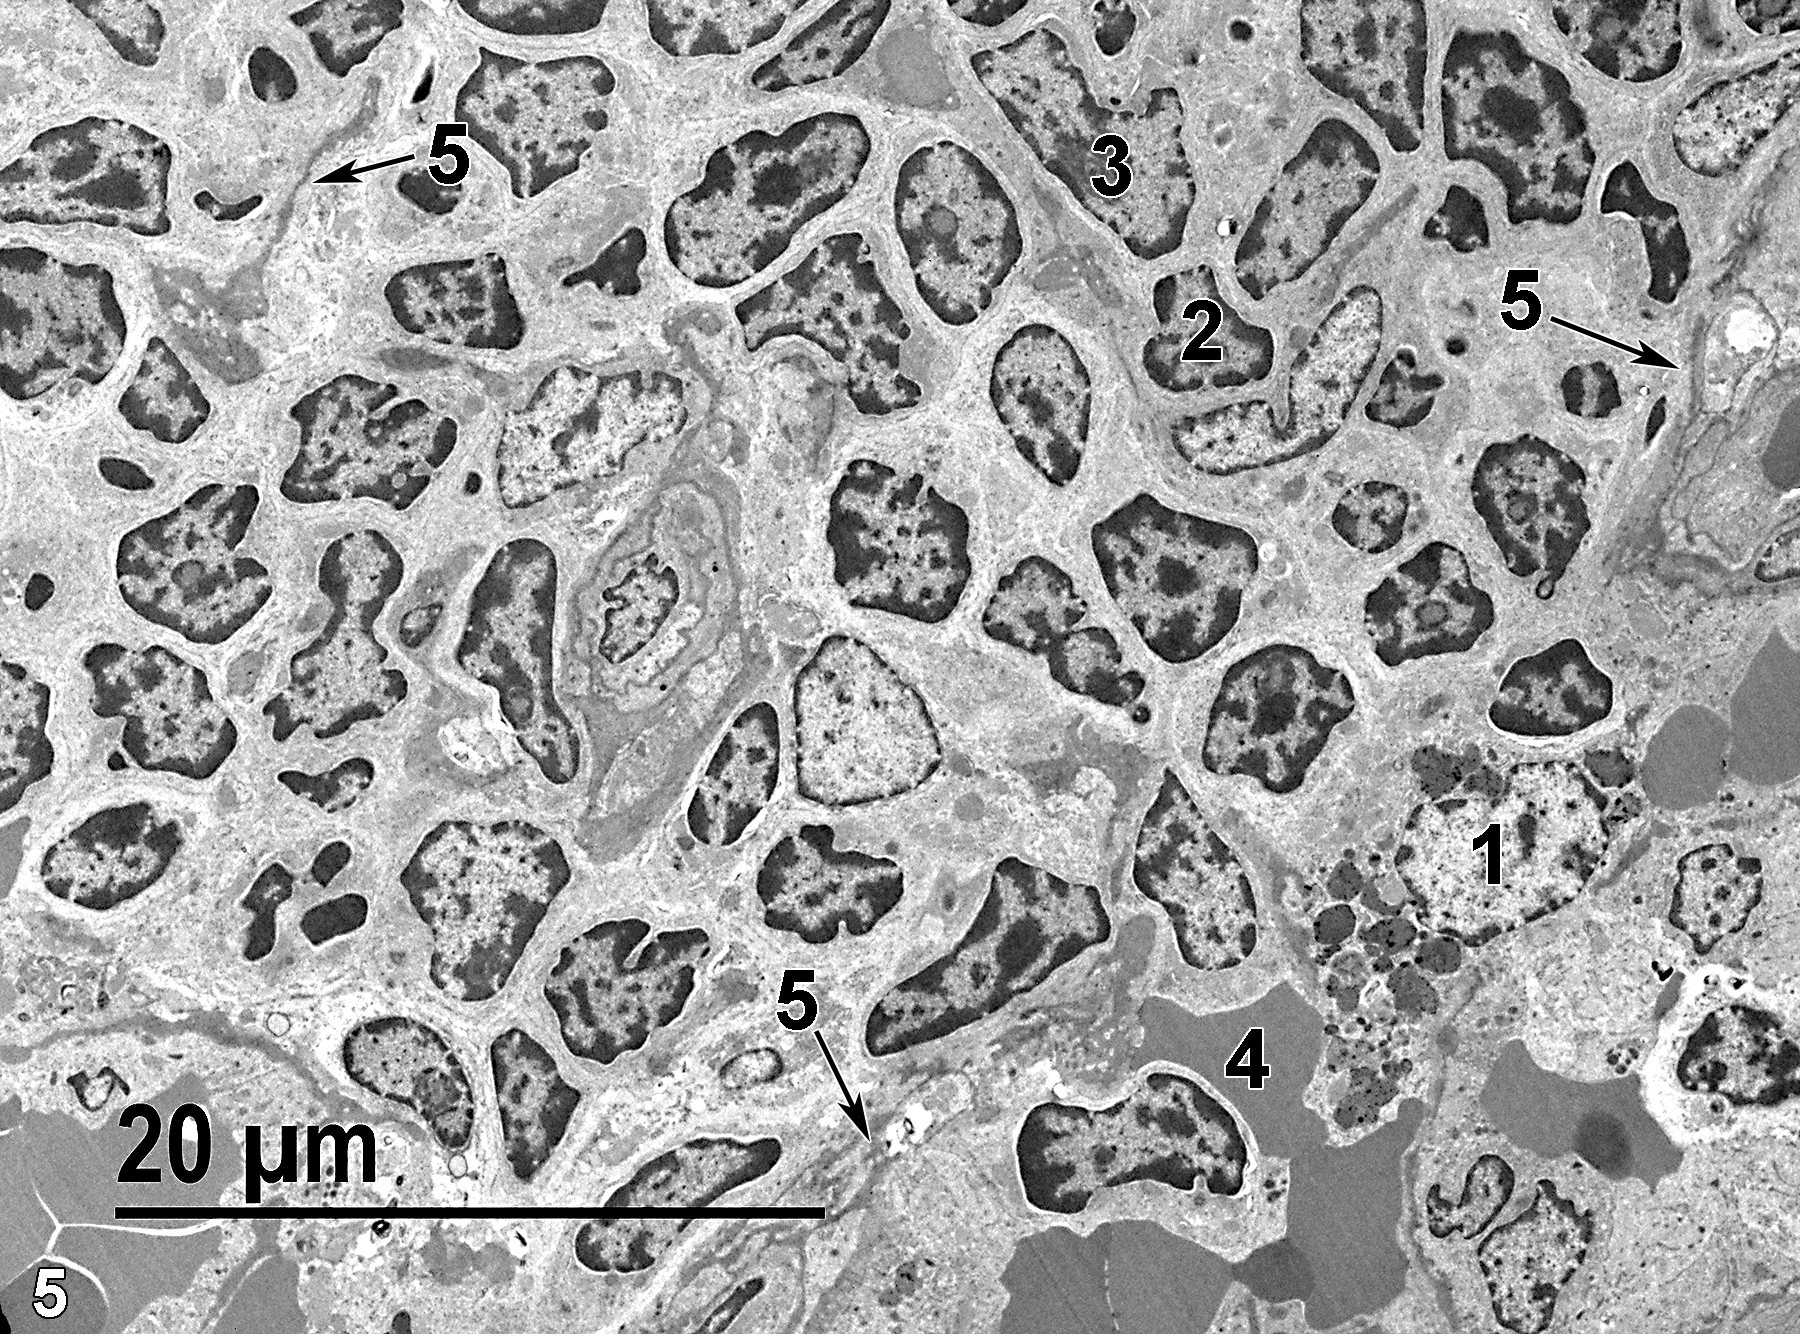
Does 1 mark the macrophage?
Yes, 1 marks the macrophage.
